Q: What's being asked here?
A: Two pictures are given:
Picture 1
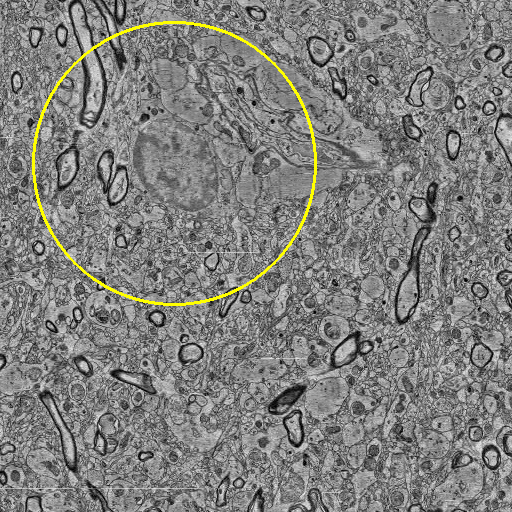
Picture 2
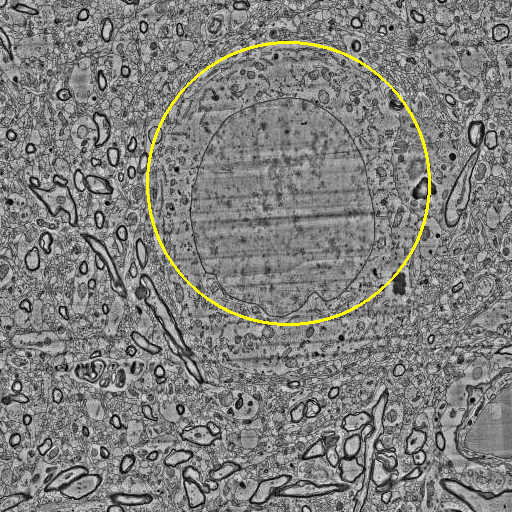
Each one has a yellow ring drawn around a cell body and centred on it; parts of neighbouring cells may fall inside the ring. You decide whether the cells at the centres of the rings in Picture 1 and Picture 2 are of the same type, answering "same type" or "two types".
two types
